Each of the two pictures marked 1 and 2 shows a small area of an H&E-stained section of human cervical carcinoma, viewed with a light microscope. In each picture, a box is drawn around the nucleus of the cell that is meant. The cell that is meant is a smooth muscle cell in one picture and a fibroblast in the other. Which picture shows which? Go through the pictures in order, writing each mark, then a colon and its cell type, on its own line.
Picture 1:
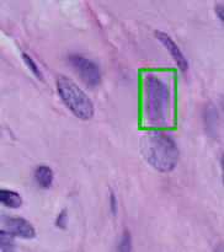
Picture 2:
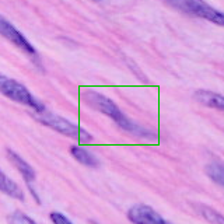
1: fibroblast
2: smooth muscle cell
